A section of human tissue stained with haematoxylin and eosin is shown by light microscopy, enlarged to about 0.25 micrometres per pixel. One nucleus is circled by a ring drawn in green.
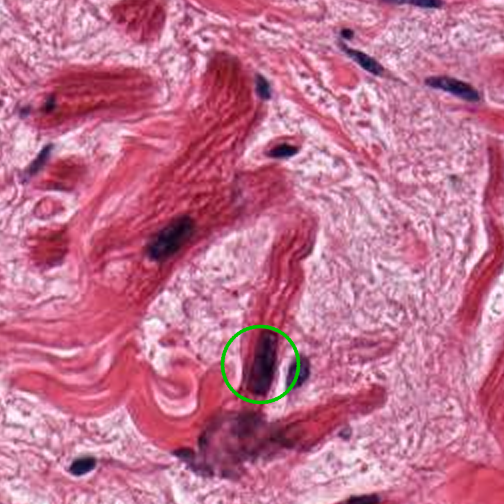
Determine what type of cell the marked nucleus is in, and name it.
cardiomyocyte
